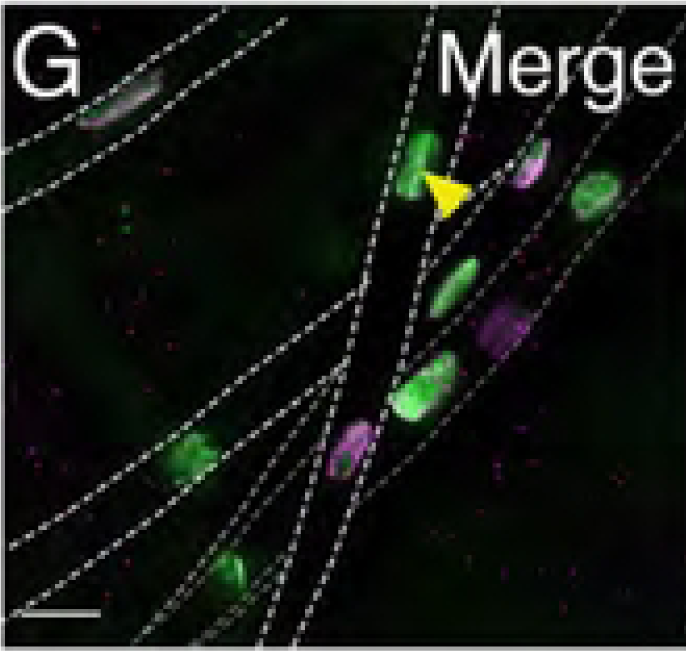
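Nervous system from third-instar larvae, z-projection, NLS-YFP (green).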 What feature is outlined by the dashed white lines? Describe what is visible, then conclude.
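Elongated nuclei lie within the bands, aligned along them. That points to this answer: peripheral nerve tracts.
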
